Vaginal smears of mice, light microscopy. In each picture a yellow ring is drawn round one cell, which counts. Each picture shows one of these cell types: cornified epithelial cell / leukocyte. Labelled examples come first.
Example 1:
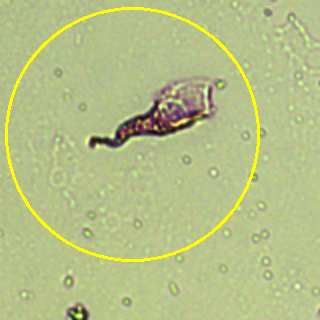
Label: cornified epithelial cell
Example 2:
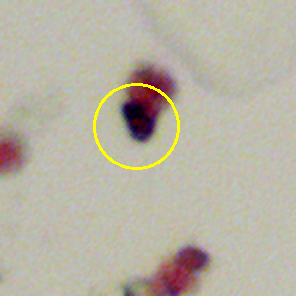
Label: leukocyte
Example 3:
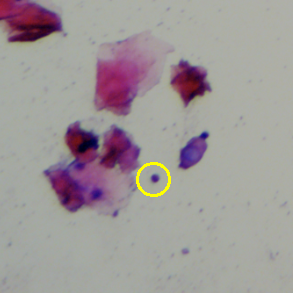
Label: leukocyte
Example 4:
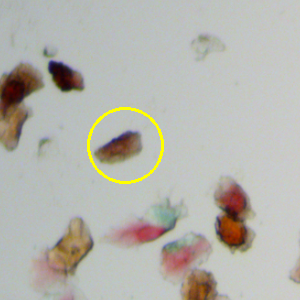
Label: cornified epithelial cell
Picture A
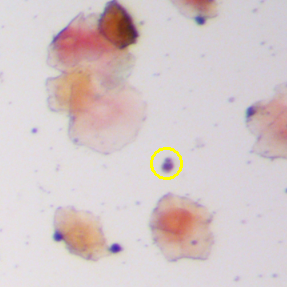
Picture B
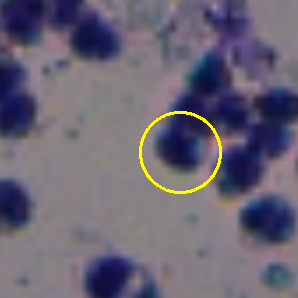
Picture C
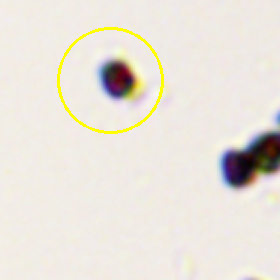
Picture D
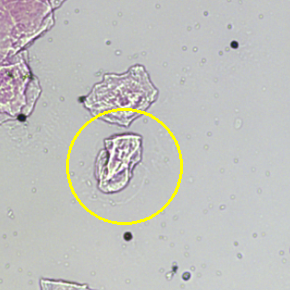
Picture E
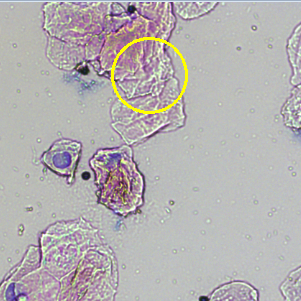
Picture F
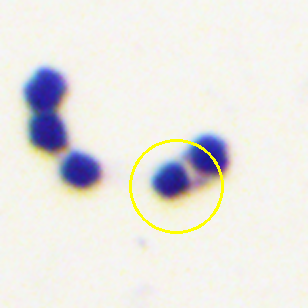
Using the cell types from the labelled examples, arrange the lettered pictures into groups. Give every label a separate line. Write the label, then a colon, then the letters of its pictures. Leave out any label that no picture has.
cornified epithelial cell: D, E
leukocyte: A, B, C, F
